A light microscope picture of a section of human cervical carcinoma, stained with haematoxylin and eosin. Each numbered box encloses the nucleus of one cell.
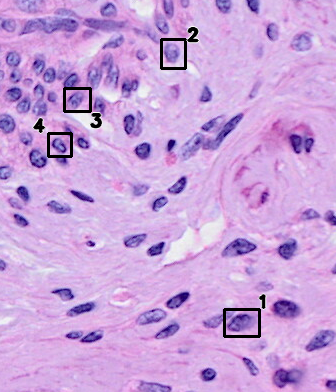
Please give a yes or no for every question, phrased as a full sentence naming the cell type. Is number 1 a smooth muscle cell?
No, a smooth muscle cell is not what cell 1 is; it is a fibroblast.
